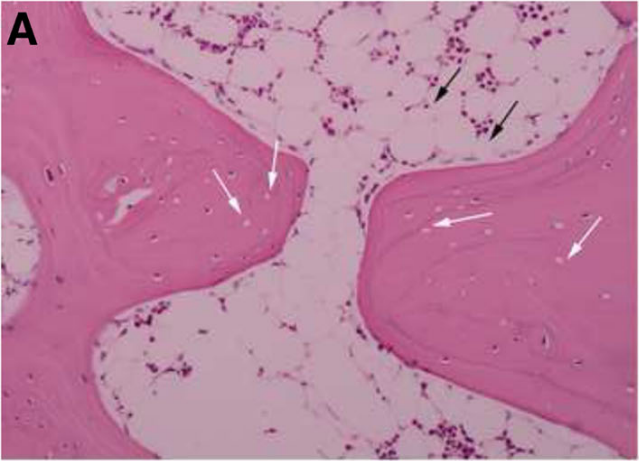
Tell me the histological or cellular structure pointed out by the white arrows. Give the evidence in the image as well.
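The white arrows point to small pale spaces inside the pink bone matrix. These spaces contain no dark-stained nucleus.
Conclusion: empty lacunae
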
